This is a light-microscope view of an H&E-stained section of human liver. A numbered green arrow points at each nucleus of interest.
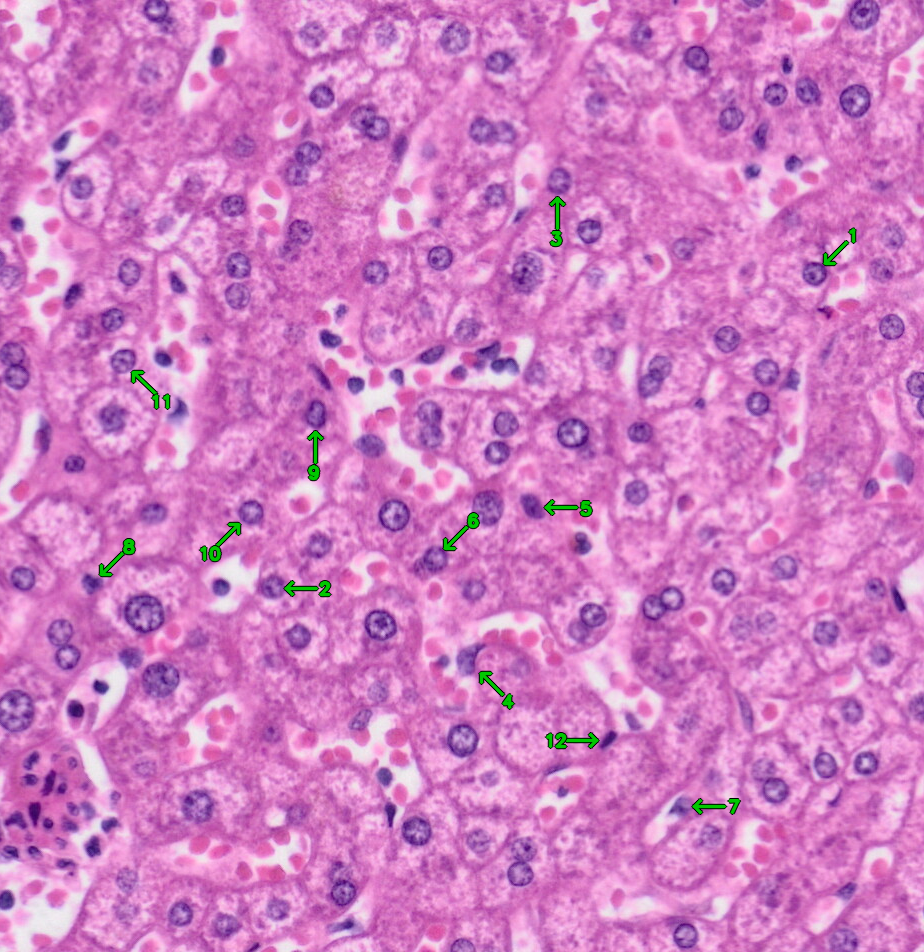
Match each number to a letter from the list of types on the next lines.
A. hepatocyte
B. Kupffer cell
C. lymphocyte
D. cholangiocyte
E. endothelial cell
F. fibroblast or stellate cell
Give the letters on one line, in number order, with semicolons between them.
A; A; A; B; F; A; E; E; A; A; A; F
